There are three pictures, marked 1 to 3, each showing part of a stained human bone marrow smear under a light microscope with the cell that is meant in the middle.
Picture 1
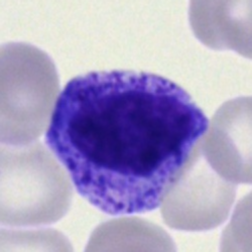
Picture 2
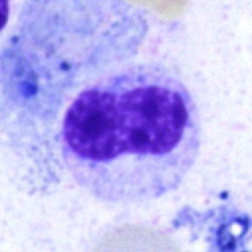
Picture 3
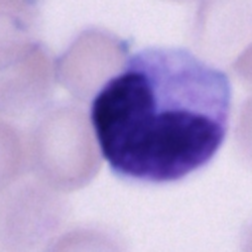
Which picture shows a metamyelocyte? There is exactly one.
3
